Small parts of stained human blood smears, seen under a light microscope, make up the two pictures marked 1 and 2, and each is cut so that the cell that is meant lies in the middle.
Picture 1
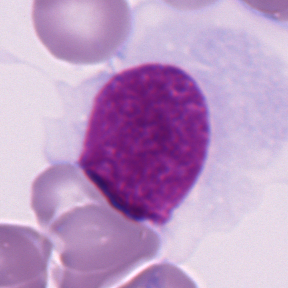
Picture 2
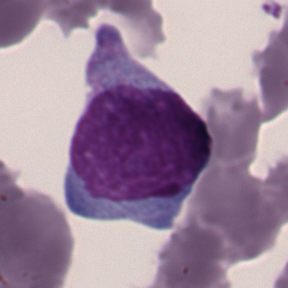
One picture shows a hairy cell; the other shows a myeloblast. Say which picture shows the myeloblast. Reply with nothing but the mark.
2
